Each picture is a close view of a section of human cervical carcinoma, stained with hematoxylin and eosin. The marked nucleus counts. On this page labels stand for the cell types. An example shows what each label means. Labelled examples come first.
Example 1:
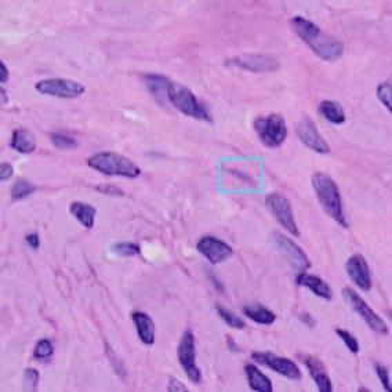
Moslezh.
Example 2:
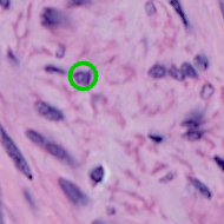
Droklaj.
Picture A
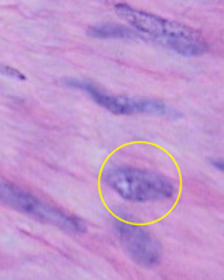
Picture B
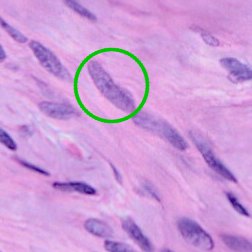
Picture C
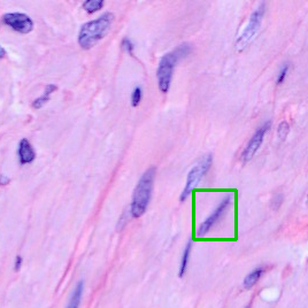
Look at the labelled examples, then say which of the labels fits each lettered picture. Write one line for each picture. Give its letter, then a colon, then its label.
A: Droklaj.
B: Moslezh.
C: Moslezh.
